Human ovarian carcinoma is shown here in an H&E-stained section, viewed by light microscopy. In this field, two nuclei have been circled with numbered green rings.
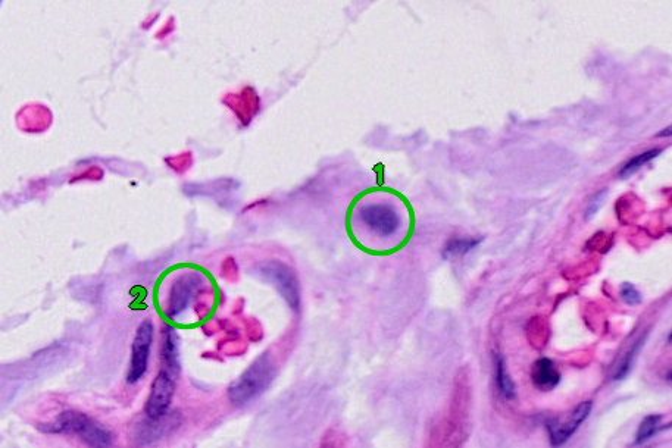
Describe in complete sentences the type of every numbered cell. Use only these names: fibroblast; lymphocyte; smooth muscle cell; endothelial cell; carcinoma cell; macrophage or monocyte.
Cell 1 is a fibroblast. Cell 2 is an endothelial cell.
